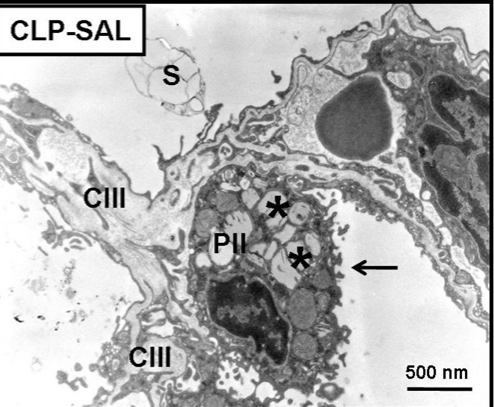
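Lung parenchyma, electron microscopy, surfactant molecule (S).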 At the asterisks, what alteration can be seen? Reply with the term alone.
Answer: Degeneration of lamellar bodies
